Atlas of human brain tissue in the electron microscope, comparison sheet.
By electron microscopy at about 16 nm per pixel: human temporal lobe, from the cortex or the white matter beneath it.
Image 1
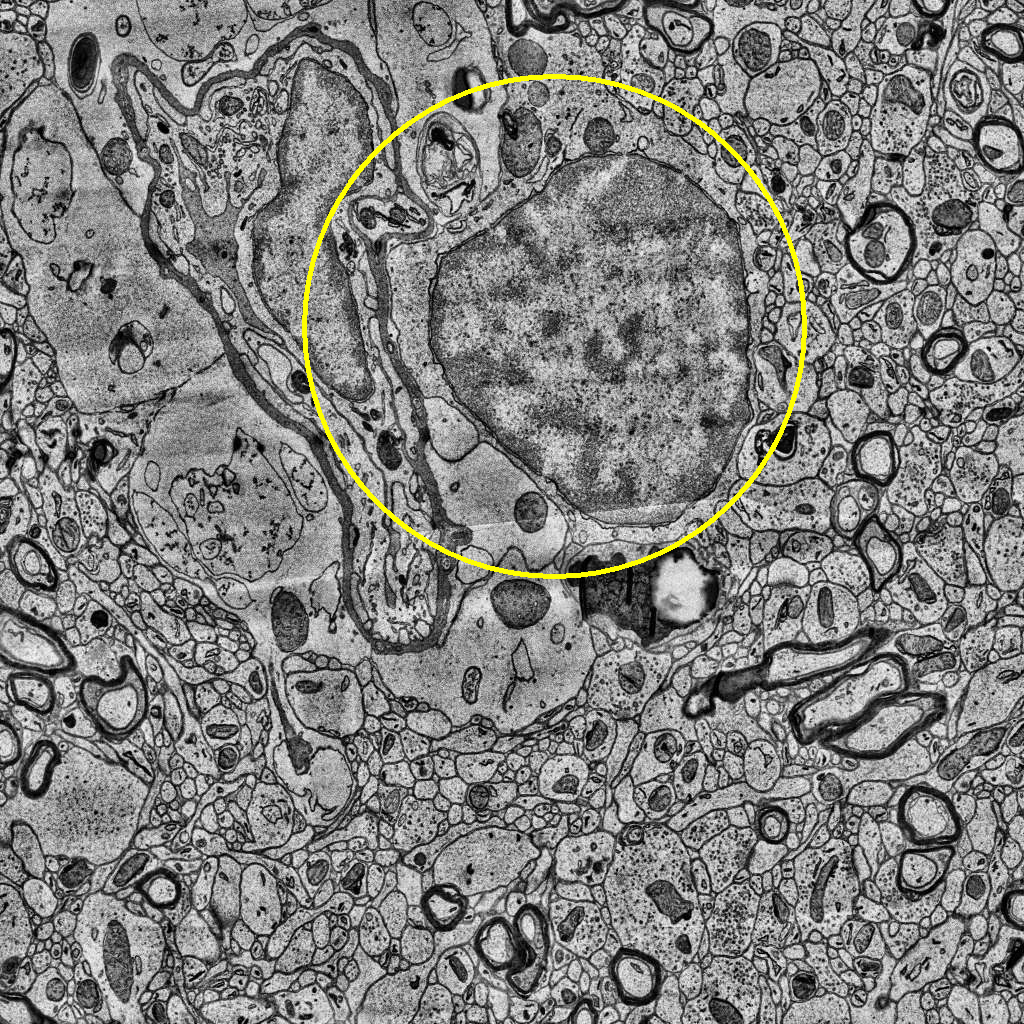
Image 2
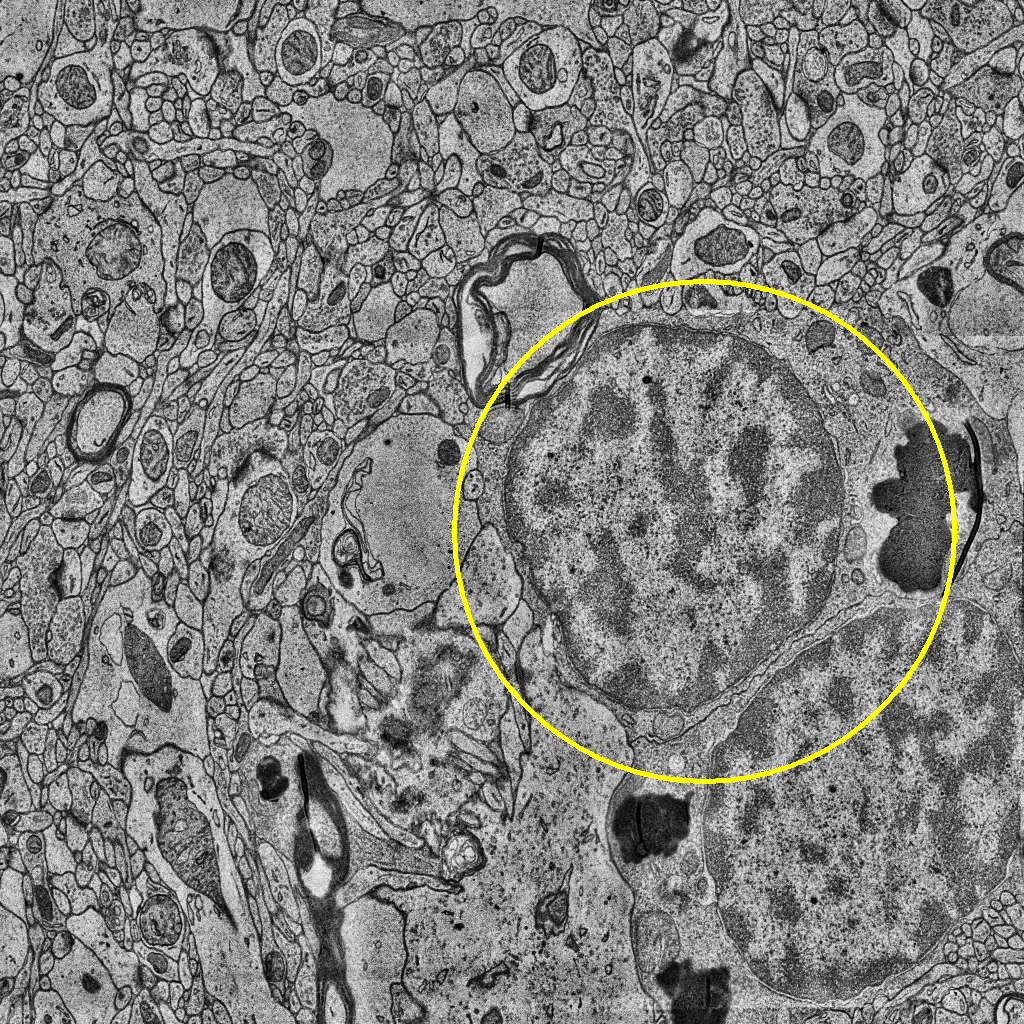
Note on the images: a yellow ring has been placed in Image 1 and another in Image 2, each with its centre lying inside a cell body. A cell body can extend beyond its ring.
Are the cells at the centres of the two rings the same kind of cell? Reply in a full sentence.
Yes, both cells are of the same kind.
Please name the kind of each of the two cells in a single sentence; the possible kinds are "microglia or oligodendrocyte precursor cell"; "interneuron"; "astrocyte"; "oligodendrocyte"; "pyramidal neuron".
Each of the two pictures has an oligodendrocyte at the ring centre.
